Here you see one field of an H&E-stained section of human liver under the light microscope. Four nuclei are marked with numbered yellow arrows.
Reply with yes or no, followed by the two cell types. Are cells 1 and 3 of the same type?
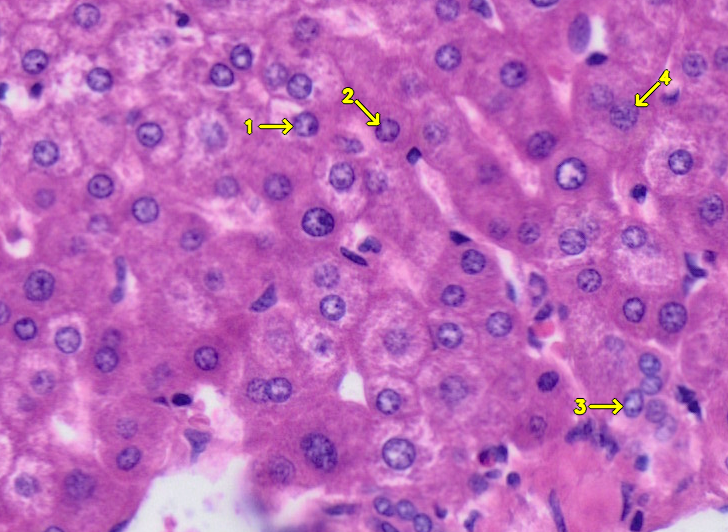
No, the cell numbered 1 is a hepatocyte, and the cell numbered 3 is a cholangiocyte.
